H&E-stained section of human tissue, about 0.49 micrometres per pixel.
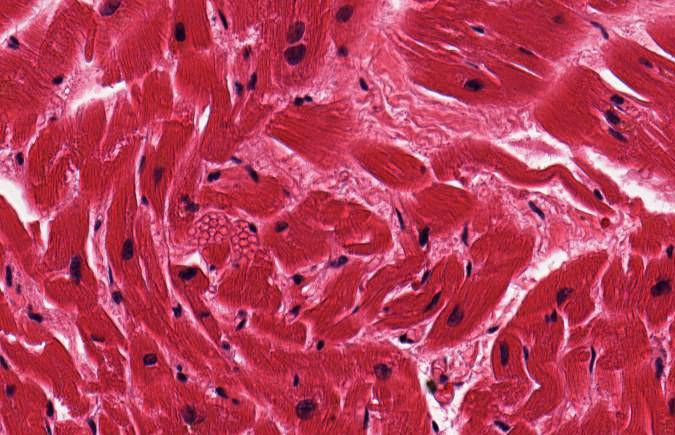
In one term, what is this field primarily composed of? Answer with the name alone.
myocardium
